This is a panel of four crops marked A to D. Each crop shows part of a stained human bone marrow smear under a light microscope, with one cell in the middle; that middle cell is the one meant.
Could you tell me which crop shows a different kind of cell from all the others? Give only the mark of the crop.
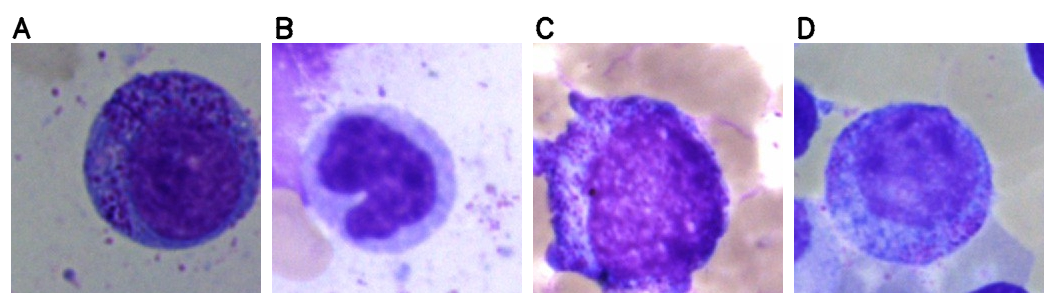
B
